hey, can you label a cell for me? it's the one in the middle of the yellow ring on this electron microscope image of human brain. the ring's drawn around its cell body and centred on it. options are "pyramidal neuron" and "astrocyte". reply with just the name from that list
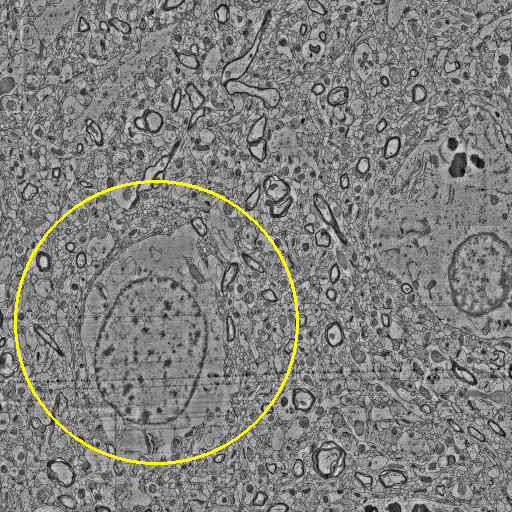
astrocyte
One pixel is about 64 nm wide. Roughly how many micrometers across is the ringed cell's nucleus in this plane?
Roughly 9 by 7 micrometres is the size of the nucleus in this plane.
